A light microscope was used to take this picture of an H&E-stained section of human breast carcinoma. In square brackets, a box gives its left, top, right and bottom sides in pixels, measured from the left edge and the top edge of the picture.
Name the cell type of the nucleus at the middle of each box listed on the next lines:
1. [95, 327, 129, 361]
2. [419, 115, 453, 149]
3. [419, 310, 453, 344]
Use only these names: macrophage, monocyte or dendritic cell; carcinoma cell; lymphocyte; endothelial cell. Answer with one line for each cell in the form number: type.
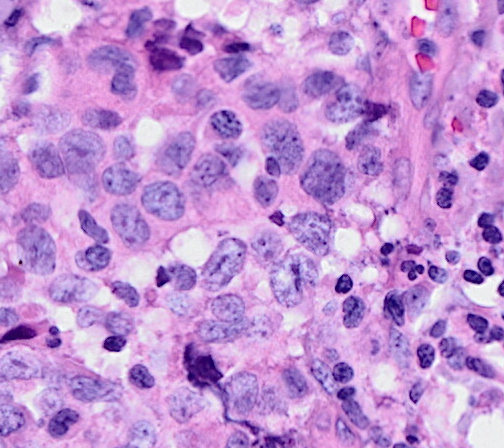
1: lymphocyte
2: endothelial cell
3: lymphocyte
